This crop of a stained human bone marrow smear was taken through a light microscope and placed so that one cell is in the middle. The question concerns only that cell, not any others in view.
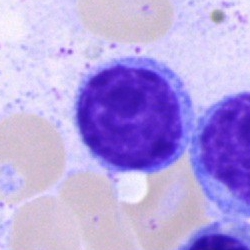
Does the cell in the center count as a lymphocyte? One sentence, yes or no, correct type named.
Yes, that is a lymphocyte in the middle of the crop.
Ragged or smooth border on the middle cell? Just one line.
The membrane contour is even and smooth, with nothing projecting from it.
